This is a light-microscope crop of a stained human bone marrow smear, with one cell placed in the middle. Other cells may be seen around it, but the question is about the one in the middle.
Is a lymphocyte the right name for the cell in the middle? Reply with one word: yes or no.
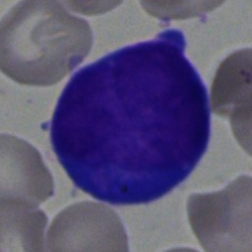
no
